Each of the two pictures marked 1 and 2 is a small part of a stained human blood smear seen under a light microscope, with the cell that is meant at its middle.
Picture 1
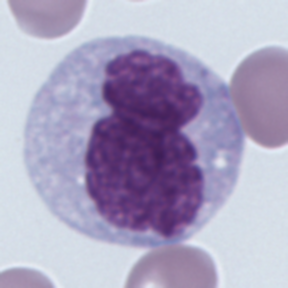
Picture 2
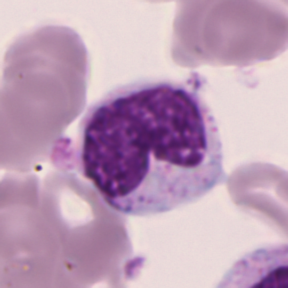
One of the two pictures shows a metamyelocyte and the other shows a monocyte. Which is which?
1: monocyte
2: metamyelocyte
